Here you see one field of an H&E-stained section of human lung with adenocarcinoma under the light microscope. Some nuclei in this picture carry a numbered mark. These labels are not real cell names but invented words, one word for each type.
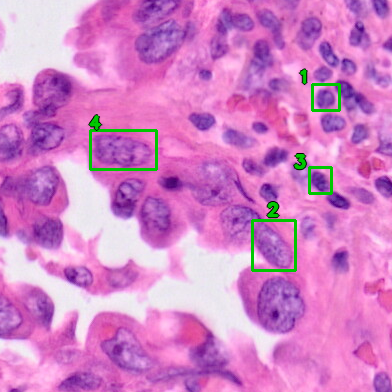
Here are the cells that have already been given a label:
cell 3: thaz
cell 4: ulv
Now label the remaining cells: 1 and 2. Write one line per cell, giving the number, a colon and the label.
1: thaz
2: ulv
